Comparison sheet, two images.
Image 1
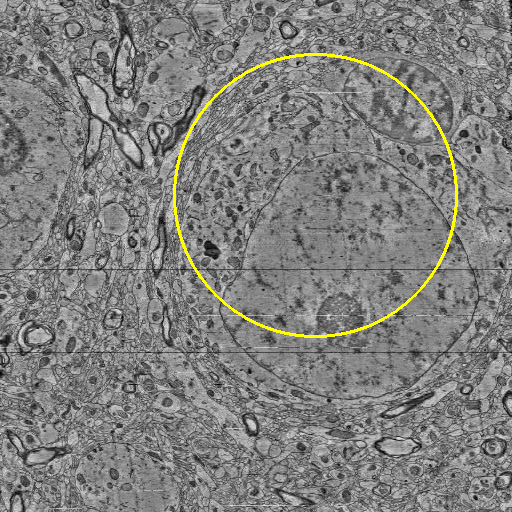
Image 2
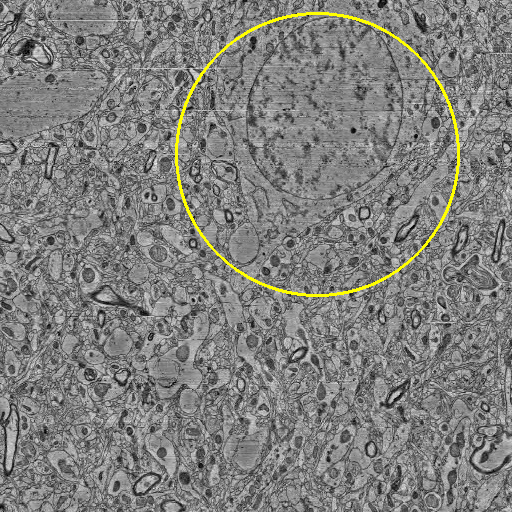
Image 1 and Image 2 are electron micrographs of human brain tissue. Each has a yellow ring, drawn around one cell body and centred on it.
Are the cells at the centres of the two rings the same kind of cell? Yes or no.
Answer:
yes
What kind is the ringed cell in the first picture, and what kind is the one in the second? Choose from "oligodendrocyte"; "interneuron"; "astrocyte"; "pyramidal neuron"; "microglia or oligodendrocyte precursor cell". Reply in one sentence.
The ring centre holds a pyramidal neuron in each of the two pictures.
